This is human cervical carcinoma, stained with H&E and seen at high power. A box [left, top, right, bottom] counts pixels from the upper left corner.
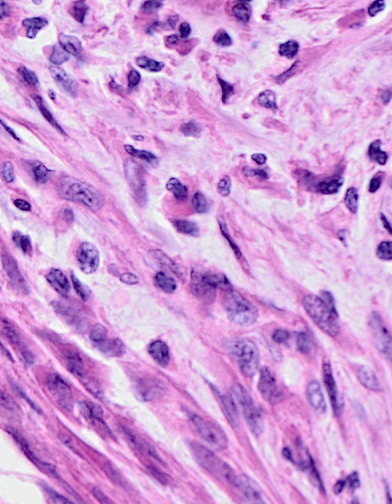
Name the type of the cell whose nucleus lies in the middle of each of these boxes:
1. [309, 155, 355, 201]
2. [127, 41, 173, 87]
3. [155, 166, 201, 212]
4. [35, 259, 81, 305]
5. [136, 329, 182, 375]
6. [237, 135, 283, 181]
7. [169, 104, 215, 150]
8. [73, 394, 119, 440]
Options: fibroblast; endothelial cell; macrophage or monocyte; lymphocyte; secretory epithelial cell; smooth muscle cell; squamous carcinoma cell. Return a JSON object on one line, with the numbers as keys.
{"1": "macrophage or monocyte", "2": "lymphocyte", "3": "lymphocyte", "4": "lymphocyte", "5": "lymphocyte", "6": "lymphocyte", "7": "fibroblast", "8": "fibroblast"}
